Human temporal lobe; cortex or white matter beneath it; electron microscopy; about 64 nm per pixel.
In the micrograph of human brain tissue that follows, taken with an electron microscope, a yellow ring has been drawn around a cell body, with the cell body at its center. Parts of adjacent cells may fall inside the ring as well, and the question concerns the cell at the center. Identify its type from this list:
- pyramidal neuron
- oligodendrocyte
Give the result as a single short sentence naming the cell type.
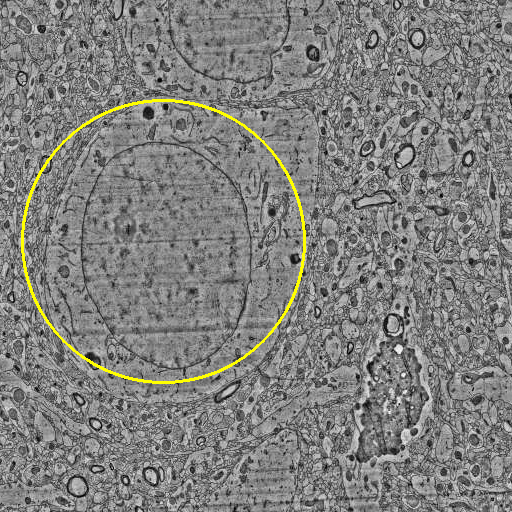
The ring is centered on a pyramidal neuron.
